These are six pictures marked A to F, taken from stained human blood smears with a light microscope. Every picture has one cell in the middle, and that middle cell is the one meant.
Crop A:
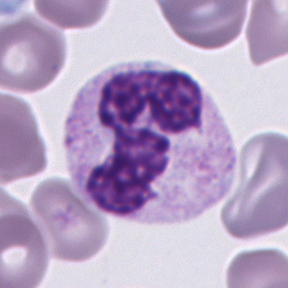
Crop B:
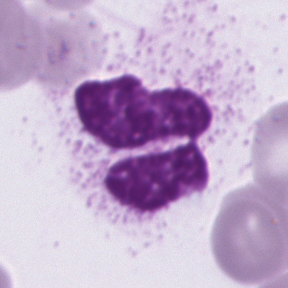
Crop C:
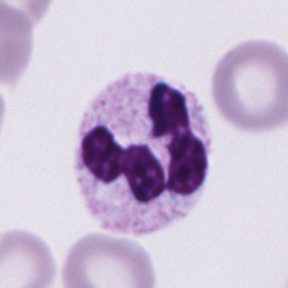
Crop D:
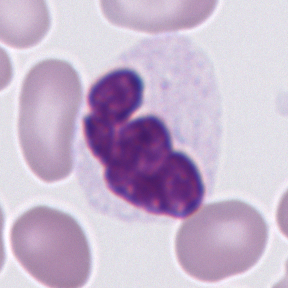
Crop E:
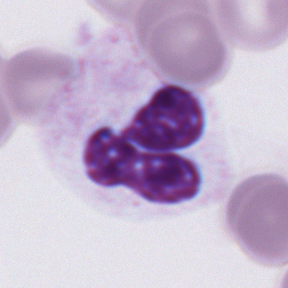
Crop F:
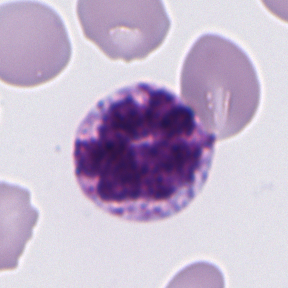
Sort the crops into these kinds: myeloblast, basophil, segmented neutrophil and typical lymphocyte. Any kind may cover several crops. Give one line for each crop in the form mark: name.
A: segmented neutrophil
B: segmented neutrophil
C: segmented neutrophil
D: segmented neutrophil
E: segmented neutrophil
F: basophil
